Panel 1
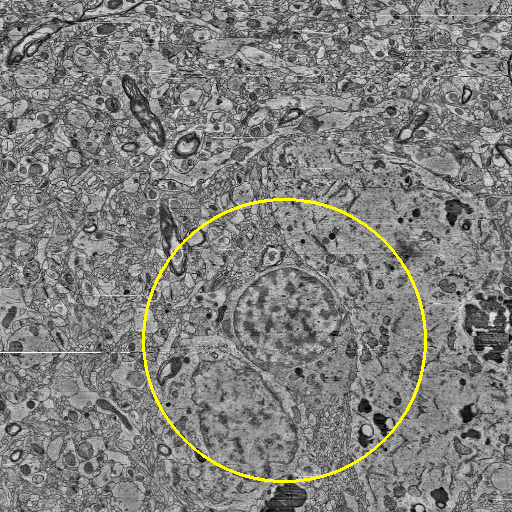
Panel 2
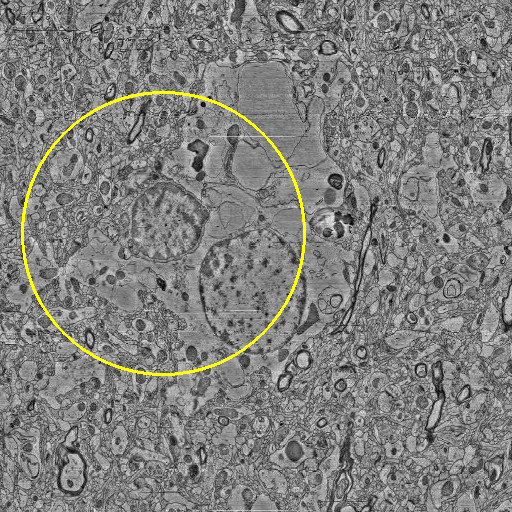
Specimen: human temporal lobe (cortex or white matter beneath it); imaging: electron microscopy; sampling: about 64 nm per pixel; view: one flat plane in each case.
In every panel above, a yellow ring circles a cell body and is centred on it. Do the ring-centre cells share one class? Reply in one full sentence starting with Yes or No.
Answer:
Yes, the two cells at the ring centres in the panels belong to one class.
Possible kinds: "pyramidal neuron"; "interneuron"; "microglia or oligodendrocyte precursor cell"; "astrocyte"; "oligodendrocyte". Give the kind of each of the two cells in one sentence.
In both pictures the ring is centred on an oligodendrocyte.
